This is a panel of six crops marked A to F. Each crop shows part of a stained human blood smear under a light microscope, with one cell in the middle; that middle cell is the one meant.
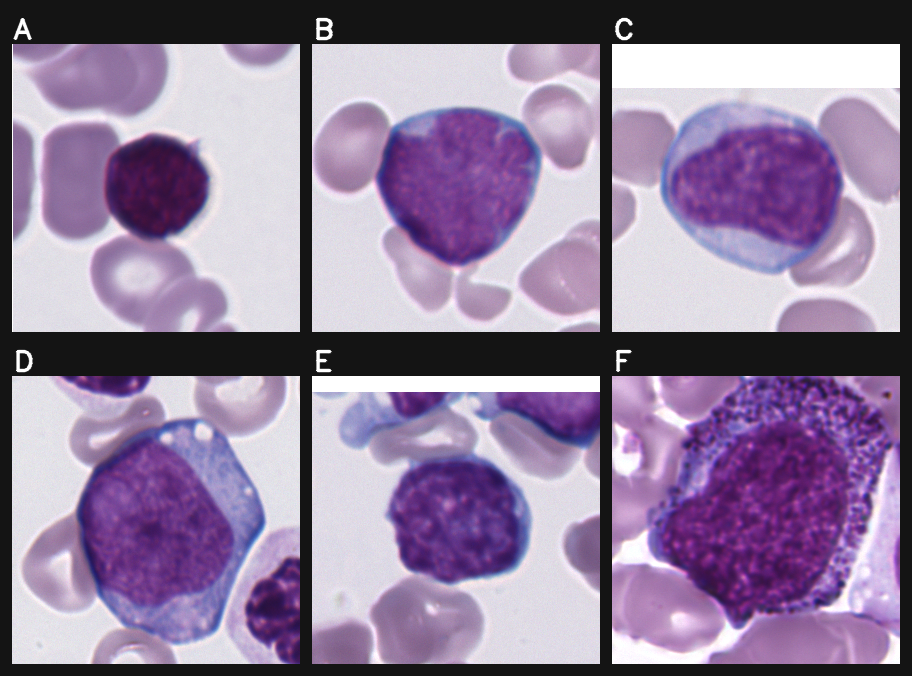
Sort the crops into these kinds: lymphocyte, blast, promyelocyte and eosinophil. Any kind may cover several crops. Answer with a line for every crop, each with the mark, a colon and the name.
A: blast
B: blast
C: blast
D: promyelocyte
E: blast
F: promyelocyte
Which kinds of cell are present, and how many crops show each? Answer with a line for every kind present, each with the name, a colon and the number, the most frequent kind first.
blast: 4
promyelocyte: 2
